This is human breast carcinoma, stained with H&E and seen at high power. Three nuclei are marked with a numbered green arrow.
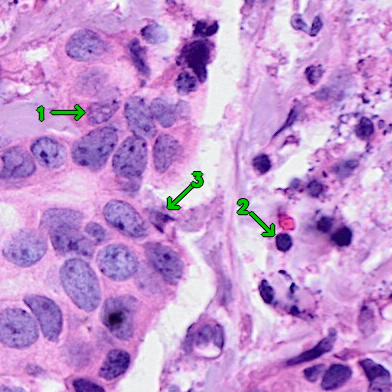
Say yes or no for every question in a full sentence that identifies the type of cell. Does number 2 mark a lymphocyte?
Yes, exactly, the cell numbered 2 is a lymphocyte.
